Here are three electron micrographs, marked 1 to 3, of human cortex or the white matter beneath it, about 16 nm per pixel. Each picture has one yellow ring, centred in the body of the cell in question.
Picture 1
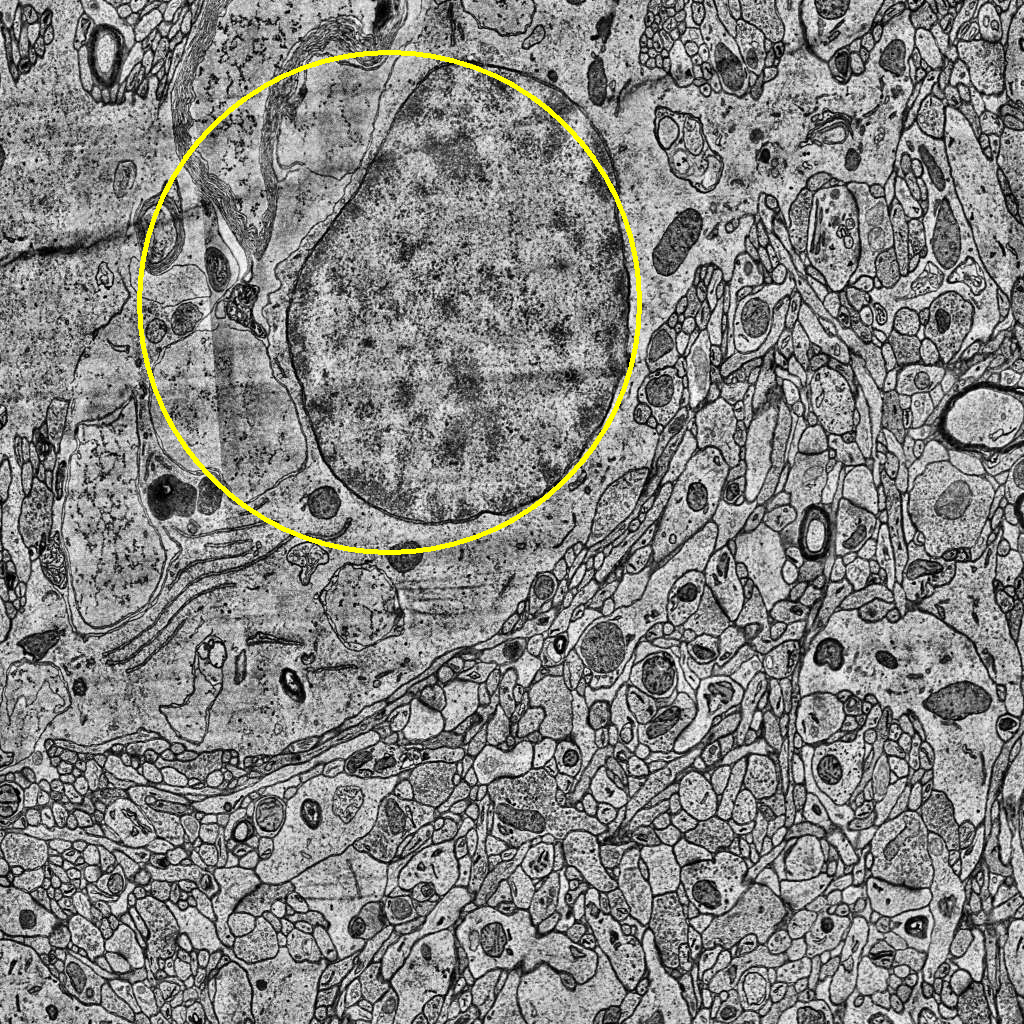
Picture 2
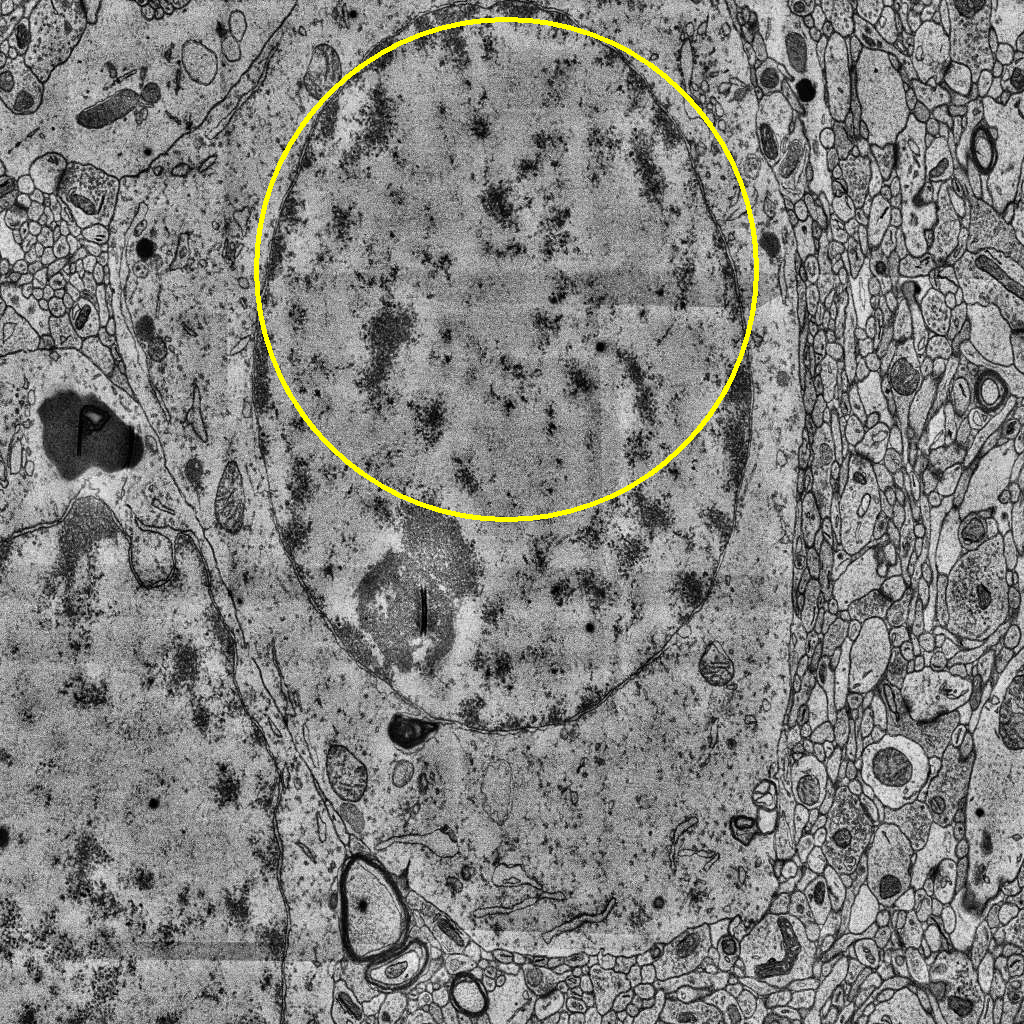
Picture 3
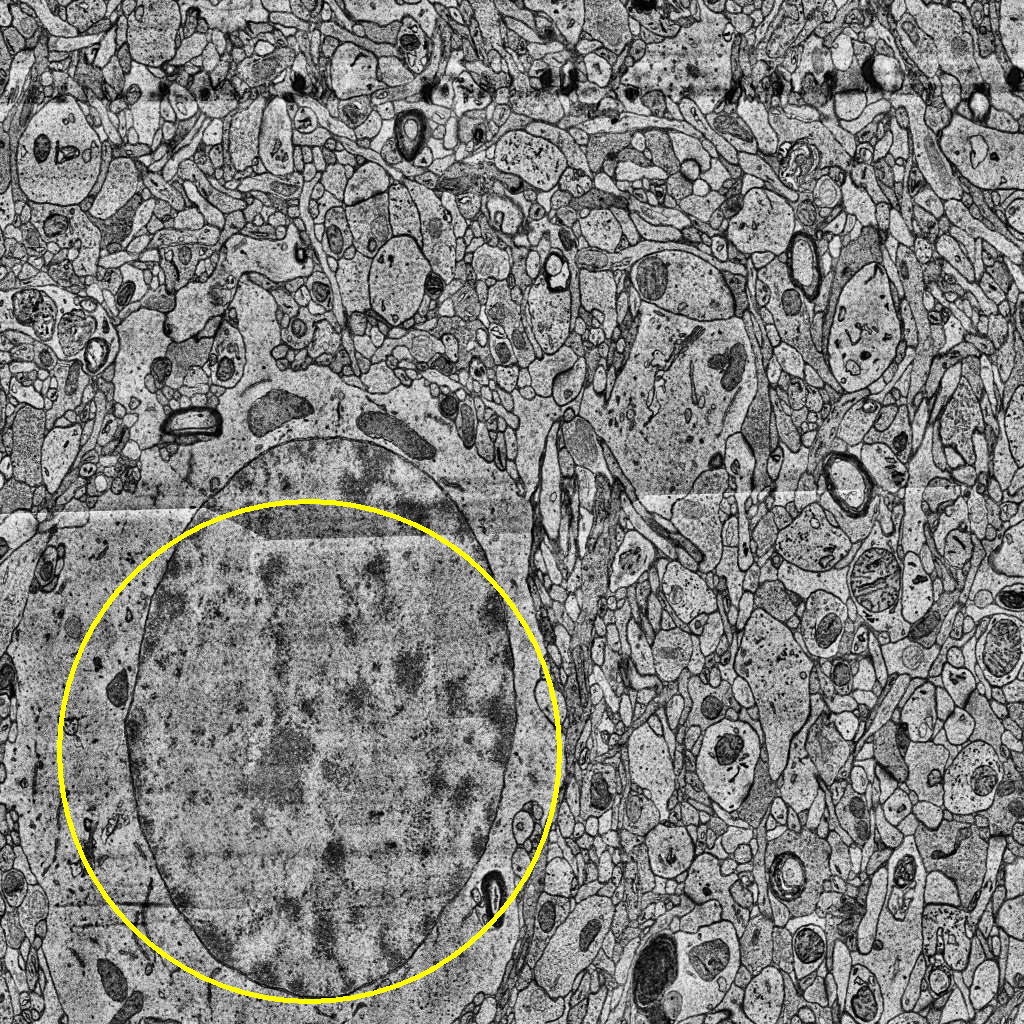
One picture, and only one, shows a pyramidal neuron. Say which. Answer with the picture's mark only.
2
